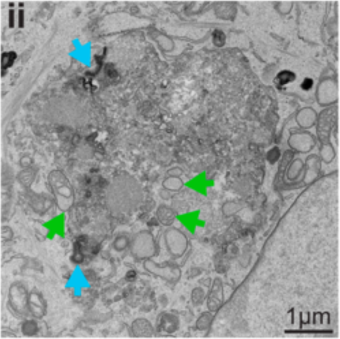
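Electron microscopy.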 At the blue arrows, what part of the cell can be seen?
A: Lysosomes.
